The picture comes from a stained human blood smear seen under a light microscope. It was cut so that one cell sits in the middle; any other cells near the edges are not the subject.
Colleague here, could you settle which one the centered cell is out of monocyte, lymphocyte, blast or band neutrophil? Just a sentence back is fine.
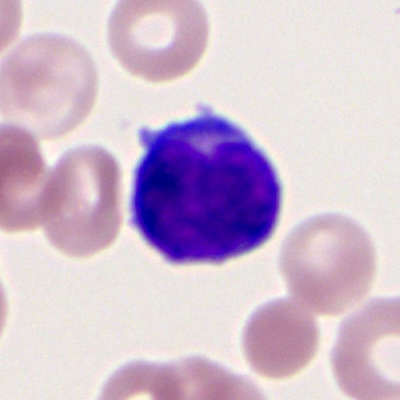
Classification of the middle cell gives a blast.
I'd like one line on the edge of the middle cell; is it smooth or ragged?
Irregular and not smooth, the cell boundary is ragged or drawn out into projections.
